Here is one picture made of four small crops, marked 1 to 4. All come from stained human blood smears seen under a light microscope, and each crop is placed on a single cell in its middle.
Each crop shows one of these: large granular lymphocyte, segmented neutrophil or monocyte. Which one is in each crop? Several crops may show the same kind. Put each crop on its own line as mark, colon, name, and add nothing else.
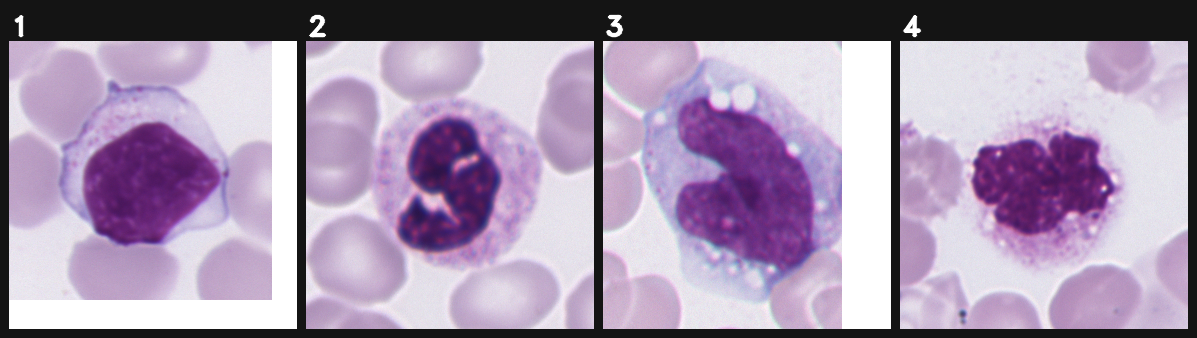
1: large granular lymphocyte
2: segmented neutrophil
3: monocyte
4: segmented neutrophil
